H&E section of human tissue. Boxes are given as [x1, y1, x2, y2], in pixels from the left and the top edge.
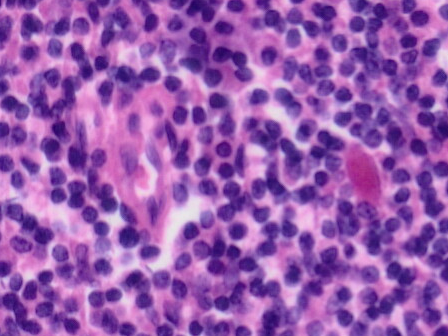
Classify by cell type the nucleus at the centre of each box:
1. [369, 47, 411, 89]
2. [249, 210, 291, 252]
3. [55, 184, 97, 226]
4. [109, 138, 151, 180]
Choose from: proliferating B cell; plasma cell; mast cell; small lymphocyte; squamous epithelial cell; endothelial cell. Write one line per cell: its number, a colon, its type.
1: small lymphocyte
2: small lymphocyte
3: small lymphocyte
4: endothelial cell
